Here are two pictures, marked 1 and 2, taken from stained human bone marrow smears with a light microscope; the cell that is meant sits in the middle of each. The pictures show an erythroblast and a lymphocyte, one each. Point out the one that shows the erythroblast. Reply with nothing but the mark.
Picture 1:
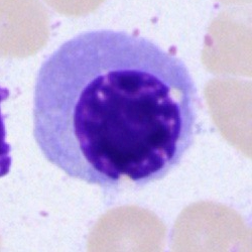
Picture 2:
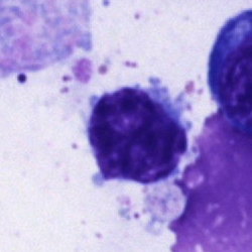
1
